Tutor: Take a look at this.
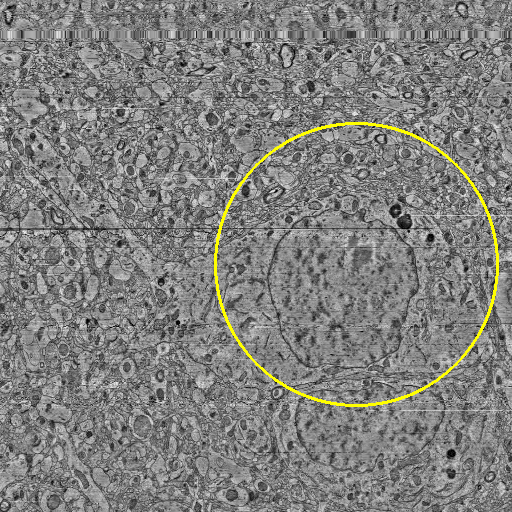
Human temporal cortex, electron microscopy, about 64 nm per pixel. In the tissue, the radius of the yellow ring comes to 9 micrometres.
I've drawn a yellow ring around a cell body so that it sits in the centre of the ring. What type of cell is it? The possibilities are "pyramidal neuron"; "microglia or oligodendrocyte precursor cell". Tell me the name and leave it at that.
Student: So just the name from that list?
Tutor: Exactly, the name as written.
pyramidal neuron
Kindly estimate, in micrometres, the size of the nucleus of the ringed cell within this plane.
Approximately 10 micrometres across, in this plane.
